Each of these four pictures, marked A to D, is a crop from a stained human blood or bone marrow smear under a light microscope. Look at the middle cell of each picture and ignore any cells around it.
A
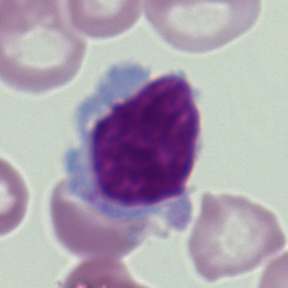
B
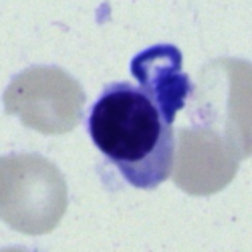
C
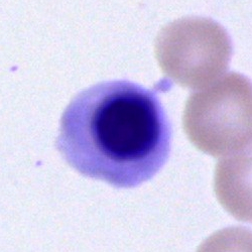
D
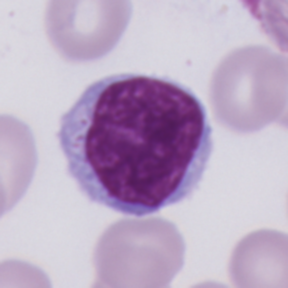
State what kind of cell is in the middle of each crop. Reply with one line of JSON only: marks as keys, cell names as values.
{"A": "lymphocyte", "B": "normoblast", "C": "normoblast", "D": "lymphocyte"}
